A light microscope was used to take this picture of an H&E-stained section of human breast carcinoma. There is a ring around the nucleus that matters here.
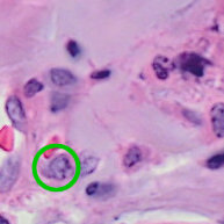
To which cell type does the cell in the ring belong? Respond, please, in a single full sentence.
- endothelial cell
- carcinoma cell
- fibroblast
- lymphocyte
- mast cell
In the tissue at hand, the cell in the ring is an endothelial cell.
